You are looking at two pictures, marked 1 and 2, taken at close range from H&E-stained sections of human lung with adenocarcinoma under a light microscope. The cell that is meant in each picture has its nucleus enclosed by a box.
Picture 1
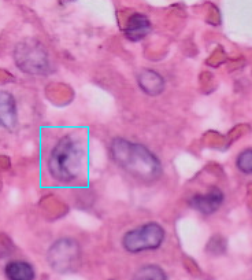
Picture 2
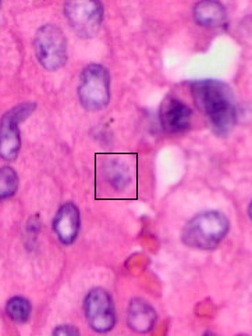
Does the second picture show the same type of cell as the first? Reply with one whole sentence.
Yes, they are the same type: both are “macrophages or monocytes”.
